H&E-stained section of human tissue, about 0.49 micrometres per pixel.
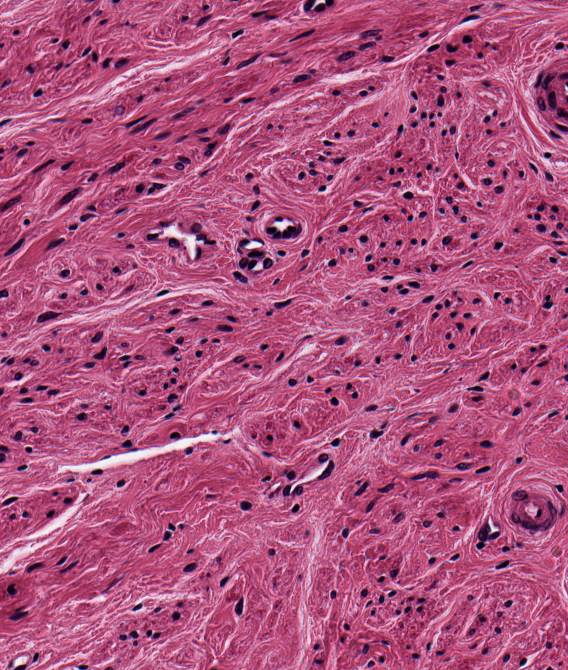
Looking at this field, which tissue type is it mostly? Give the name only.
dense connective tissue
